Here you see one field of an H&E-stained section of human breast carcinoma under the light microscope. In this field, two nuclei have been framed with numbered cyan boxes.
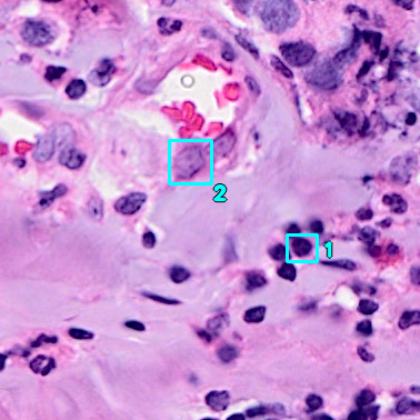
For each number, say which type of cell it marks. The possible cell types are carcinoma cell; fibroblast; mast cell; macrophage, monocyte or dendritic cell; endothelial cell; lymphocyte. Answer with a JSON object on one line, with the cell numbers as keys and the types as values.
{"1": "lymphocyte", "2": "endothelial cell"}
